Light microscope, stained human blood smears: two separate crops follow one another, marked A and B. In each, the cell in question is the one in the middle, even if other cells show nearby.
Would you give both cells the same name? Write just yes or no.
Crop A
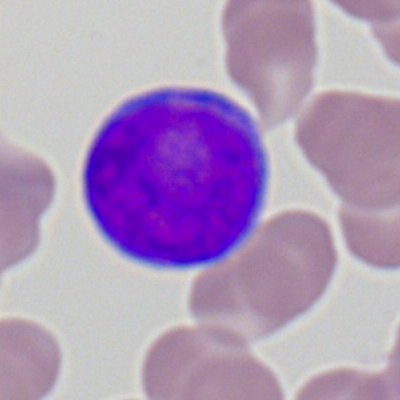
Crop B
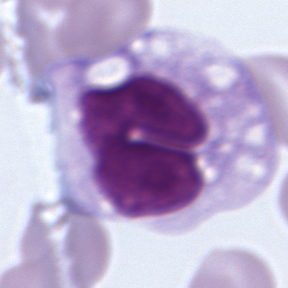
no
